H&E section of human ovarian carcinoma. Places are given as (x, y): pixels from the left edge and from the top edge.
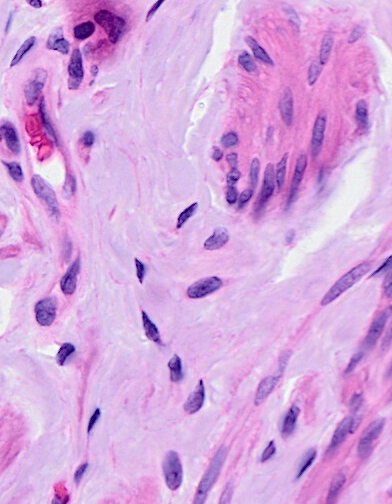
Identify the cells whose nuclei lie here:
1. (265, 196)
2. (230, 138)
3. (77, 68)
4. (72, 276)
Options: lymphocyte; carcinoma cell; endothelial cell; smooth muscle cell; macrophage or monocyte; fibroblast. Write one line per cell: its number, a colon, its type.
1: smooth muscle cell
2: smooth muscle cell
3: endothelial cell
4: endothelial cell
